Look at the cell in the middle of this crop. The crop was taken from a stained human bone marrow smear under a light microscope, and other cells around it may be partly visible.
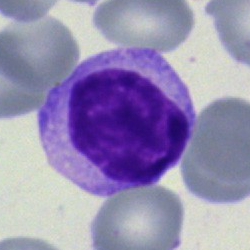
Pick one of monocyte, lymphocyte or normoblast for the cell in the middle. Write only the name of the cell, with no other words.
monocyte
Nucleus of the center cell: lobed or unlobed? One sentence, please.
The nucleus holds together as a single compact mass, round, oval or kidney-like.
